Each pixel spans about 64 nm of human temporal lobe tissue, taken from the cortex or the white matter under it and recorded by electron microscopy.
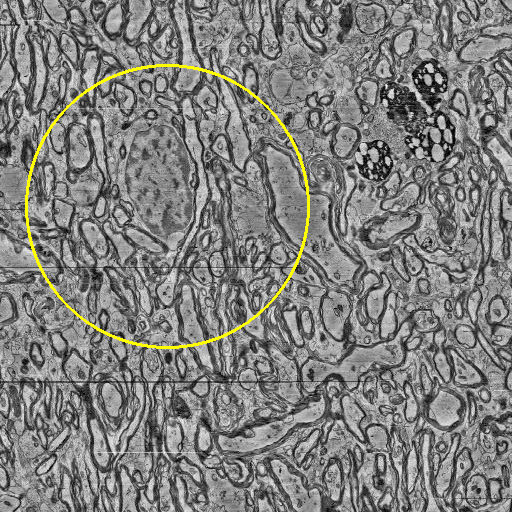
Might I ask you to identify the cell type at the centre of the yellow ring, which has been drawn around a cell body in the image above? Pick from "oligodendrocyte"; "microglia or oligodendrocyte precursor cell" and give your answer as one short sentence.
The centre of the ring falls on a microglial cell or oligodendrocyte precursor cell.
